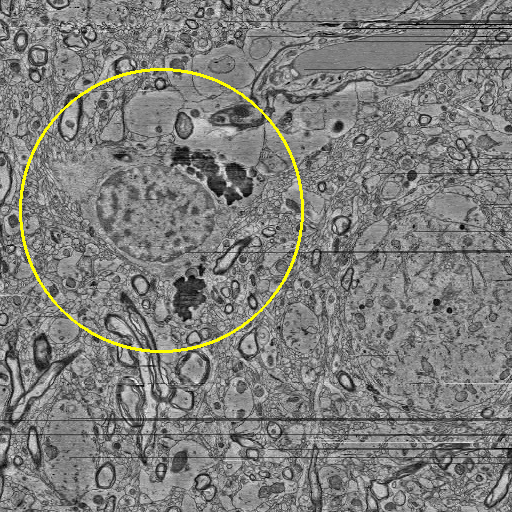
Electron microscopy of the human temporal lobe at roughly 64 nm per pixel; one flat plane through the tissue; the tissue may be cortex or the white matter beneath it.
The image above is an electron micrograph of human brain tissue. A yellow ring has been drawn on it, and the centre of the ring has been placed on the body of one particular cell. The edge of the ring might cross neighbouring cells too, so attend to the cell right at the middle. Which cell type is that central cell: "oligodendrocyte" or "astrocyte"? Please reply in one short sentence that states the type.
The central cell in the ring is an oligodendrocyte.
